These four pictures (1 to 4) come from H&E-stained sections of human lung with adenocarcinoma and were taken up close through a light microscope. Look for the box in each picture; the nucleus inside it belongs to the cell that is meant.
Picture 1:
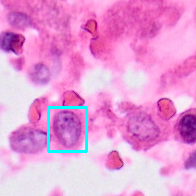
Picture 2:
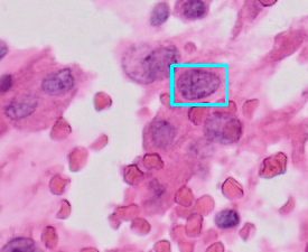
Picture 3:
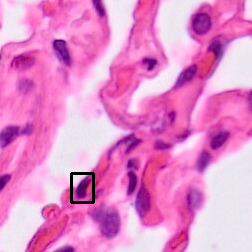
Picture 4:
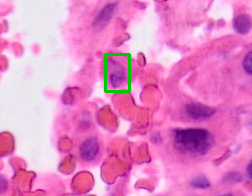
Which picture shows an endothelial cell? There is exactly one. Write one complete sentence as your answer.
The picture with the endothelial cell is 3.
